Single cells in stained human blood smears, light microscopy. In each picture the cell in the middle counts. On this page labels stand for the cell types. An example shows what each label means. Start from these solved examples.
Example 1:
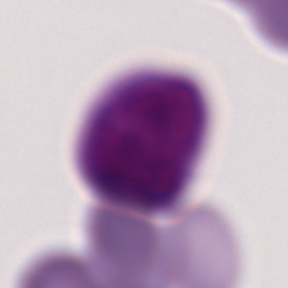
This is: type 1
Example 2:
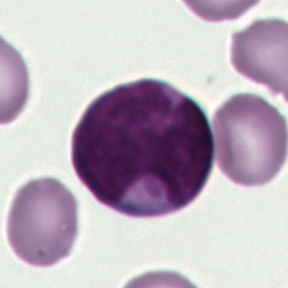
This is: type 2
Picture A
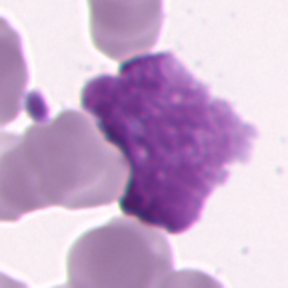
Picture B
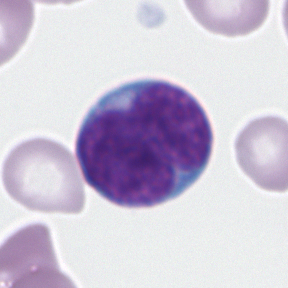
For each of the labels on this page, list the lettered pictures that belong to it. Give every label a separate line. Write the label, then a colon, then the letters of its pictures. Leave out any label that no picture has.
type 1: A
type 2: B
